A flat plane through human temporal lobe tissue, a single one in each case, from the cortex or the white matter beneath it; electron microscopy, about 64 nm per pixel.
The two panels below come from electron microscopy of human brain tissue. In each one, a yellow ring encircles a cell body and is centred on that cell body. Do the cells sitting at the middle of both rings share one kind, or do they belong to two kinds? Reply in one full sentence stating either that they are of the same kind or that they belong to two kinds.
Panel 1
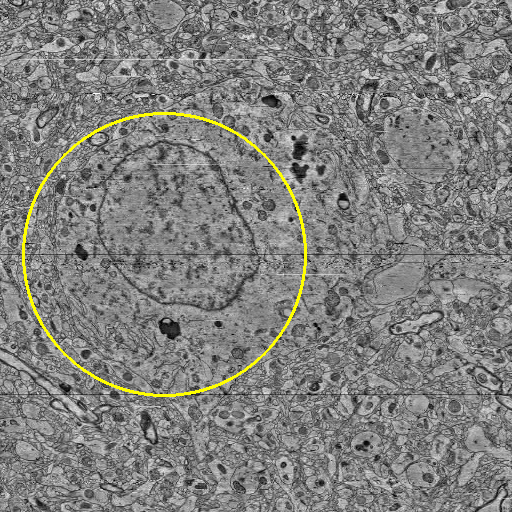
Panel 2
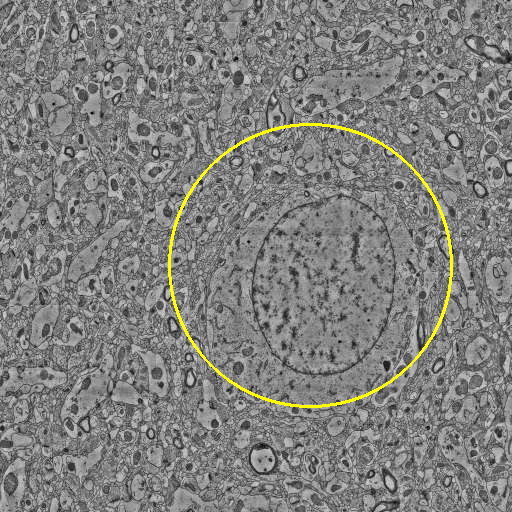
The cells at the centres of the two rings are of the same kind.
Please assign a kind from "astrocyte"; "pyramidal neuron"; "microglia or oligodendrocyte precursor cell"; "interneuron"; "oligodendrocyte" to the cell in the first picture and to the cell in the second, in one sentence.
Both cells are the same kind, each one being a pyramidal neuron.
